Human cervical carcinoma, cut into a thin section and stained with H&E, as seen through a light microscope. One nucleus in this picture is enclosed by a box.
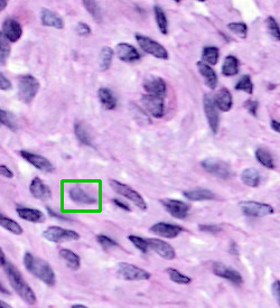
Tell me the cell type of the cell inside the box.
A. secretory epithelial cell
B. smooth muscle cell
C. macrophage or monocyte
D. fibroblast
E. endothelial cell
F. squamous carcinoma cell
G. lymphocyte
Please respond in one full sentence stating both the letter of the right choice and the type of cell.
Option D properly identifies the cell inside the box as a fibroblast.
